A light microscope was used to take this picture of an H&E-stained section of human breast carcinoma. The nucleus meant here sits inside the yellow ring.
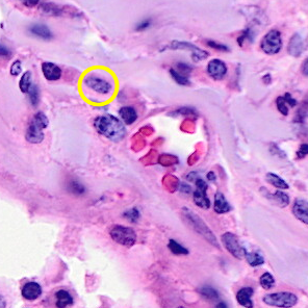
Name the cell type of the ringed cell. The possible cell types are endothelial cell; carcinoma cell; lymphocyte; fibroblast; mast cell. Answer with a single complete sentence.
Histopathologically, the ringed cell is a mast cell.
